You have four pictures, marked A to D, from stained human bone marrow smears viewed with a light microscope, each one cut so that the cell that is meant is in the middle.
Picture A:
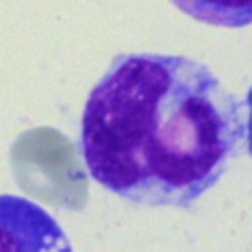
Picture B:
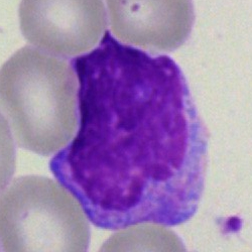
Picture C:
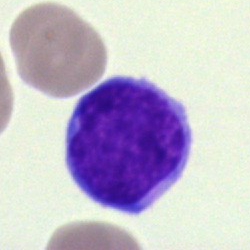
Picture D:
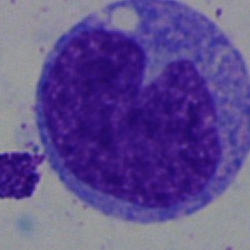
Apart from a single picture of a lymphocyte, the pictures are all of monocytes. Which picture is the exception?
C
